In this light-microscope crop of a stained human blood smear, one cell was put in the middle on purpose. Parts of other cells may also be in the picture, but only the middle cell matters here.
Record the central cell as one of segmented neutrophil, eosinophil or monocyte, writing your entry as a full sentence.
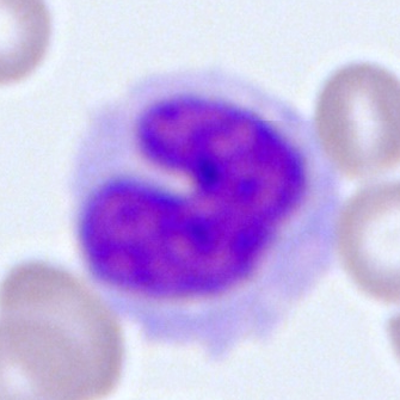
Classification of the middle cell gives a monocyte.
